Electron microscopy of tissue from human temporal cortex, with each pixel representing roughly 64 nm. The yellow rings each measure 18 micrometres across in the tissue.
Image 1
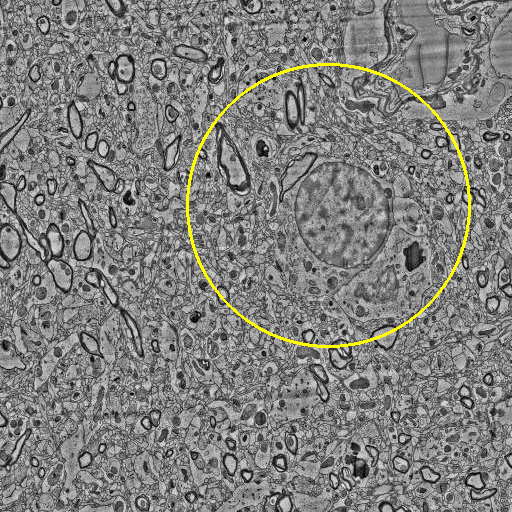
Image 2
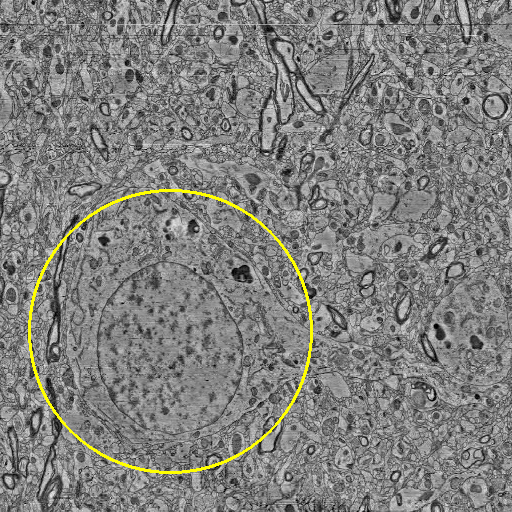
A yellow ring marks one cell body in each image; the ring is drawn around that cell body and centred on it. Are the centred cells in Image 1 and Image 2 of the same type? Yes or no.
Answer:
no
